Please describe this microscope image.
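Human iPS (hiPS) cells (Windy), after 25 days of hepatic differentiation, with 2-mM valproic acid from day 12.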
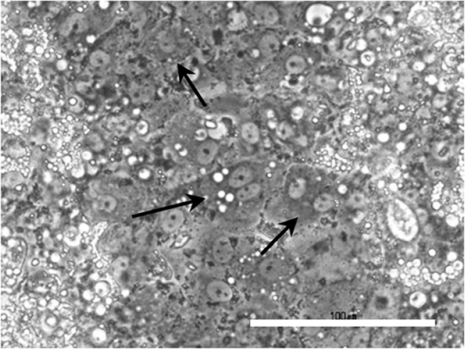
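Densely packed polygonal cells with grey granular cytoplasm, round nuclei with clear nucleoli and scattered bright refractile droplets, several cells holding two nuclei side by side. These are hepatocyte-like cells, several of them binuclear.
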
